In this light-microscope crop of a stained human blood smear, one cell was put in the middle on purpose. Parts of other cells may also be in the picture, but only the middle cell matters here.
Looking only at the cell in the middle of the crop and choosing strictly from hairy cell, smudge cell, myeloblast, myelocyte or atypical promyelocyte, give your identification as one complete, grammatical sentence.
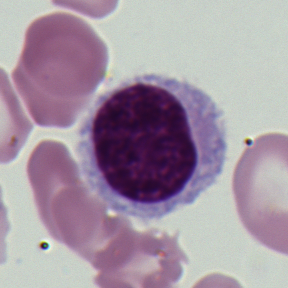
In this crop, the cell at the very middle is a hairy cell.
